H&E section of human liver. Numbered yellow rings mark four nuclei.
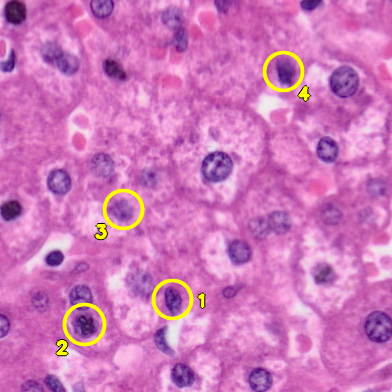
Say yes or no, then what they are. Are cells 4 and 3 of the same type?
No, cell 4 is a fibroblast or stellate cell and cell 3 is a hepatocyte.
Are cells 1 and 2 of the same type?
No, cell 1 is a fibroblast or stellate cell and cell 2 is a hepatocyte.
